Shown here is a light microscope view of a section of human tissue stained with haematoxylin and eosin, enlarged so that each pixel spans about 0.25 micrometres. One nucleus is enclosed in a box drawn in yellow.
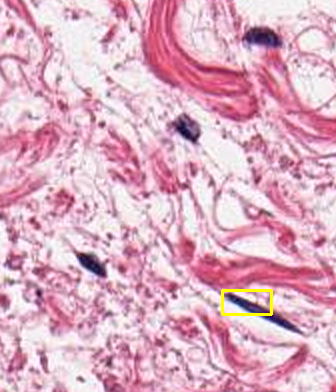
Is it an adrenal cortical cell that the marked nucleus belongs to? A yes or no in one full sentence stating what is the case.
No, what the marked nucleus belongs to is a supporting cell, not an adrenal cortical cell.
